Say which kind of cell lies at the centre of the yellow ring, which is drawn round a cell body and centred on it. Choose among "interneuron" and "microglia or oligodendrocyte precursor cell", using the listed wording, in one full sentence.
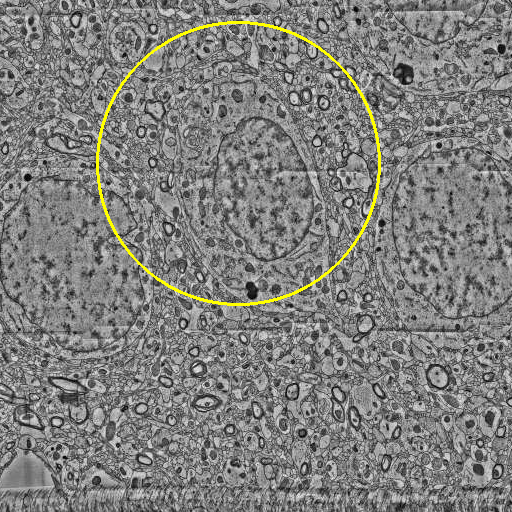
Going by the list, the cell at the yellow ring's centre is an interneuron.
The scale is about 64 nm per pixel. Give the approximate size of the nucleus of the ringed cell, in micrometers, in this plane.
Approximately 9 micrometres long and 6 micrometres wide, in this plane.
